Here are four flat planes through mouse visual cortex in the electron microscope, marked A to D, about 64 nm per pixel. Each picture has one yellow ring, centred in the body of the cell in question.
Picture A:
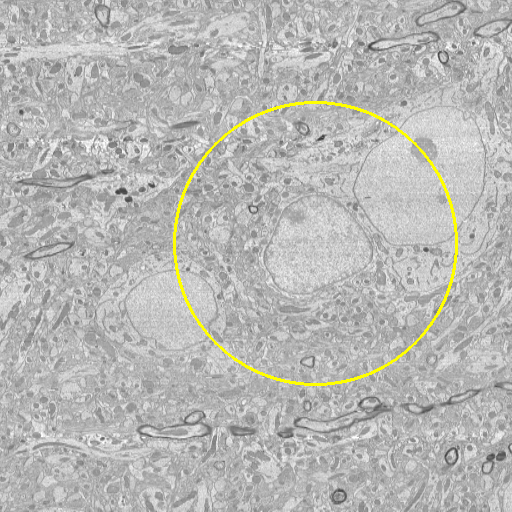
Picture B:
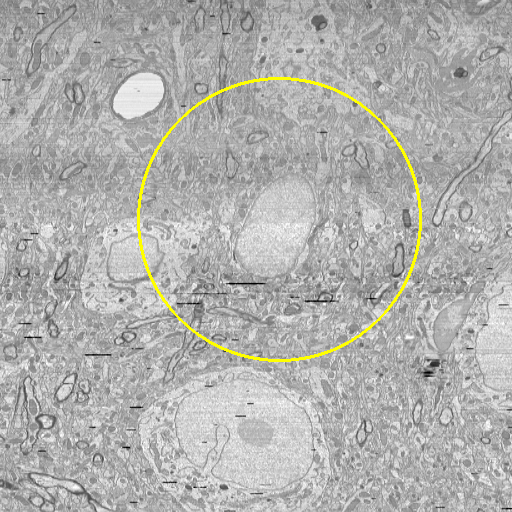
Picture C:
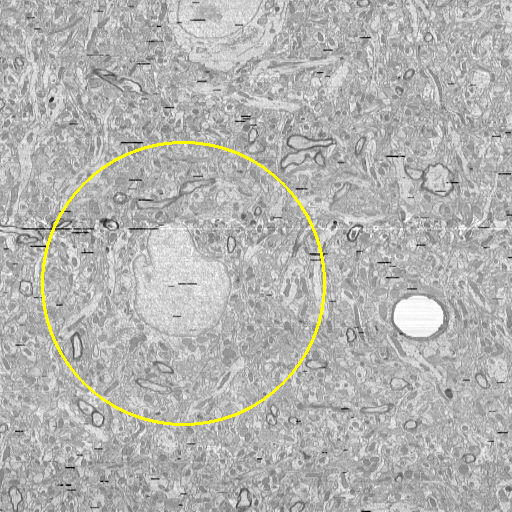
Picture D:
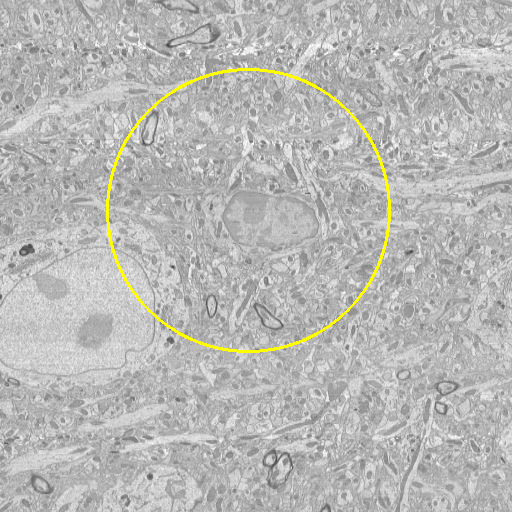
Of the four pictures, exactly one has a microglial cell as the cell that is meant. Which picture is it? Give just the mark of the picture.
D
